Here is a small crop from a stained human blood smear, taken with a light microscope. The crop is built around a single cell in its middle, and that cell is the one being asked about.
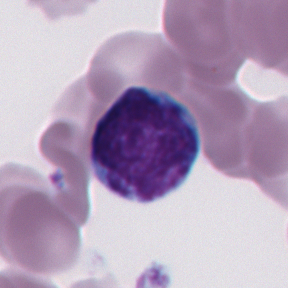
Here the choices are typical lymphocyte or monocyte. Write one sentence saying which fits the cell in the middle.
Centrally within this crop lies a typical lymphocyte.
